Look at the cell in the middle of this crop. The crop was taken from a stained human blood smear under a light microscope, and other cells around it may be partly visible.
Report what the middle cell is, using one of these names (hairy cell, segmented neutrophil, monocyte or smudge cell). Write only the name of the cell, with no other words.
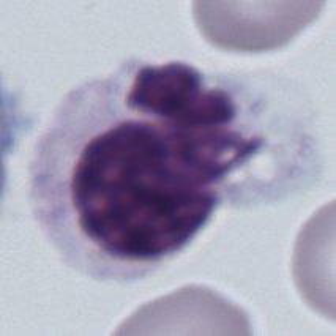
segmented neutrophil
